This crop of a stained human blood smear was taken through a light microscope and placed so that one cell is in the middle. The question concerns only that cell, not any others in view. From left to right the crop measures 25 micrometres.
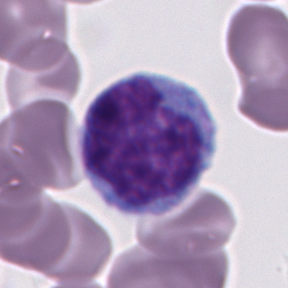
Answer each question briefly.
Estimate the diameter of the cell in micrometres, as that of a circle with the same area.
12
